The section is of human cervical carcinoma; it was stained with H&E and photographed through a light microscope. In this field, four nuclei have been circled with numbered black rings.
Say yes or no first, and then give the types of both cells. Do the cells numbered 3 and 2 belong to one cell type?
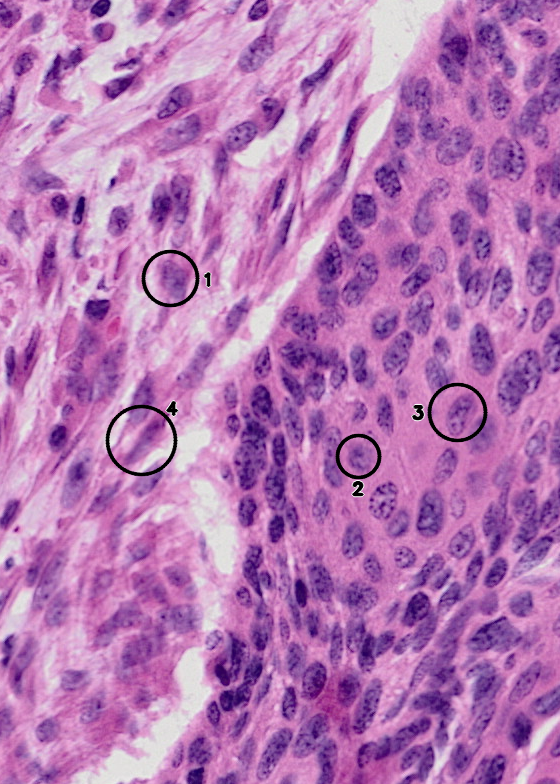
Yes, in terms of cell type, cells 3 and 2 are both squamous carcinoma cells.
